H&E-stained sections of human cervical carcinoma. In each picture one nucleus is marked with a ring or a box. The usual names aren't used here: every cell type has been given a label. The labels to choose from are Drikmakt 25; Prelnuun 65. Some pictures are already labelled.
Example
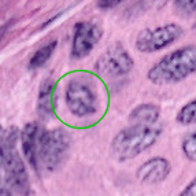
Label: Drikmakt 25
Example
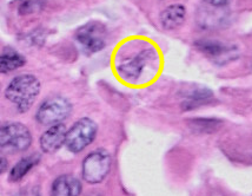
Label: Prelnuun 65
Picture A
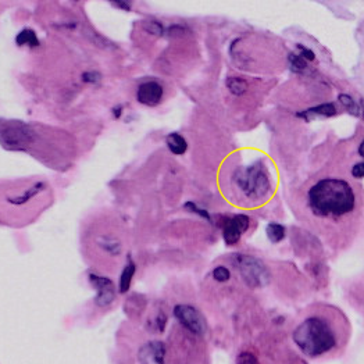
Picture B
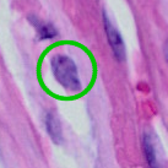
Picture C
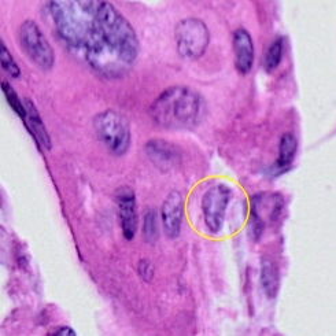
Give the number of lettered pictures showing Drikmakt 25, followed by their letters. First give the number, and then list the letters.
0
